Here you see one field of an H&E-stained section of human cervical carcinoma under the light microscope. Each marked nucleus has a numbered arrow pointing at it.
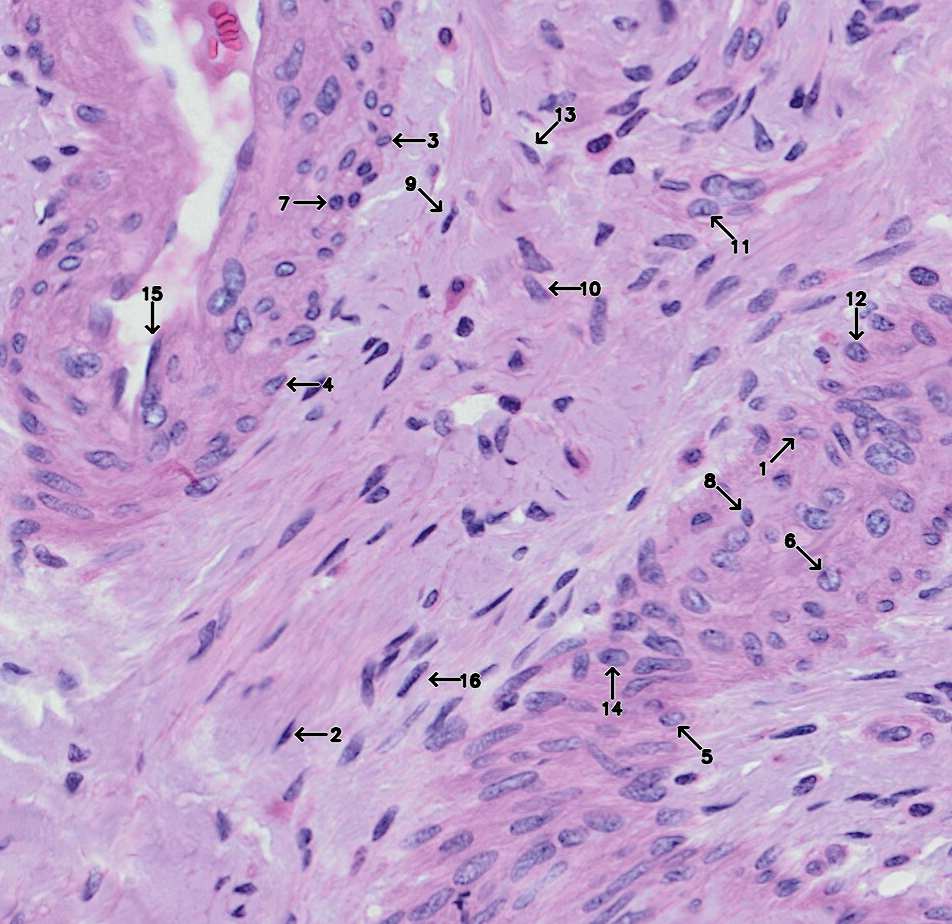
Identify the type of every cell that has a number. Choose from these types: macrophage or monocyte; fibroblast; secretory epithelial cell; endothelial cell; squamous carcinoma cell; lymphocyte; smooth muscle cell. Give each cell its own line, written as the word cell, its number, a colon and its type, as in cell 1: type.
cell 1: smooth muscle cell
cell 2: fibroblast
cell 3: smooth muscle cell
cell 4: smooth muscle cell
cell 5: smooth muscle cell
cell 6: smooth muscle cell
cell 7: smooth muscle cell
cell 8: smooth muscle cell
cell 9: fibroblast
cell 10: fibroblast
cell 11: endothelial cell
cell 12: smooth muscle cell
cell 13: fibroblast
cell 14: smooth muscle cell
cell 15: endothelial cell
cell 16: fibroblast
